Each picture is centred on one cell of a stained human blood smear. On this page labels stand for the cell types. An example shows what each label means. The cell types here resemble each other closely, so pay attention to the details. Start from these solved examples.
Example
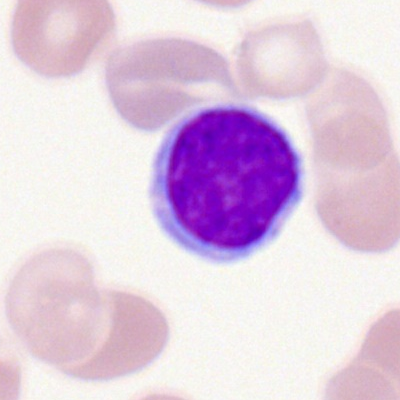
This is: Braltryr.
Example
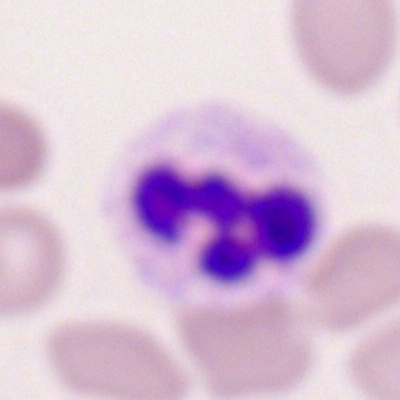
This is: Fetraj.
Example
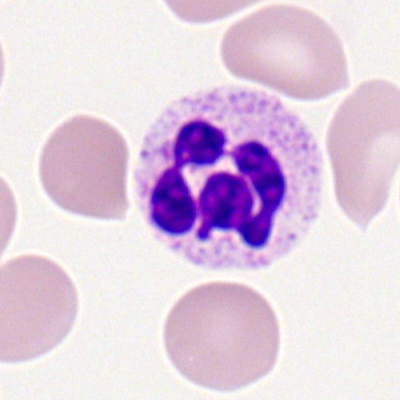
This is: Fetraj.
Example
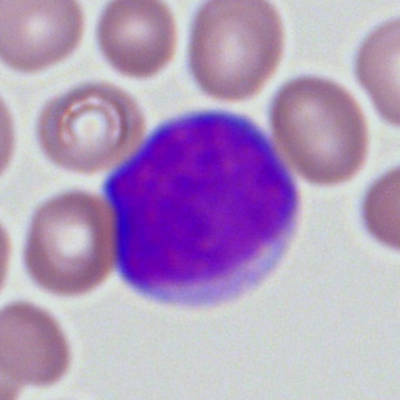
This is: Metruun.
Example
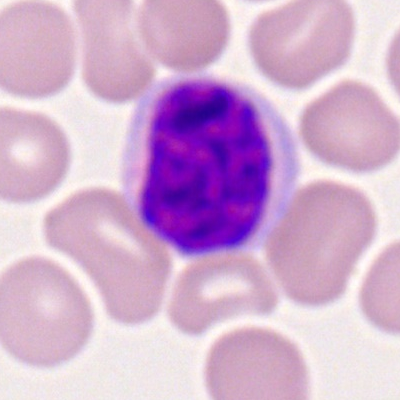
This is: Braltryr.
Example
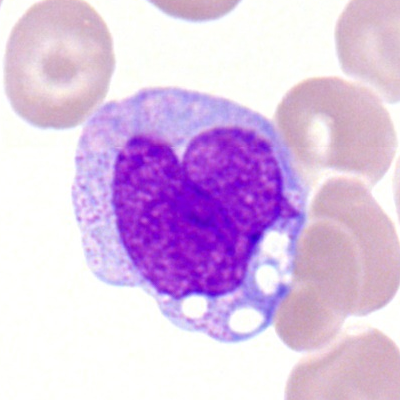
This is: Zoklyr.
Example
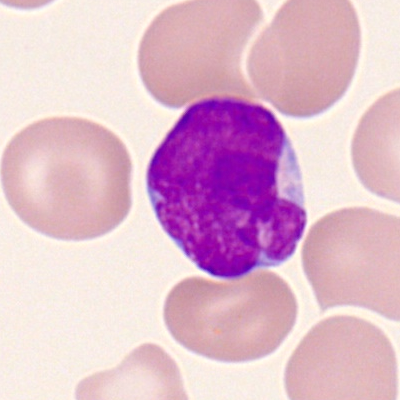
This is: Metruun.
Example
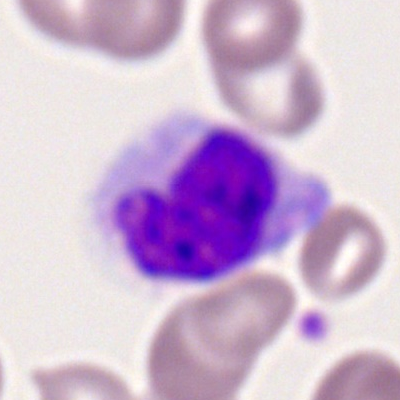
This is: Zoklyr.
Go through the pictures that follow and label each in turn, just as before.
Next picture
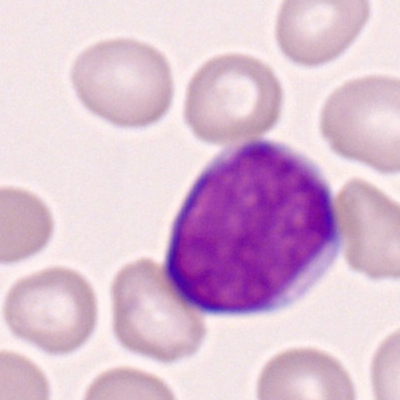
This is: Metruun.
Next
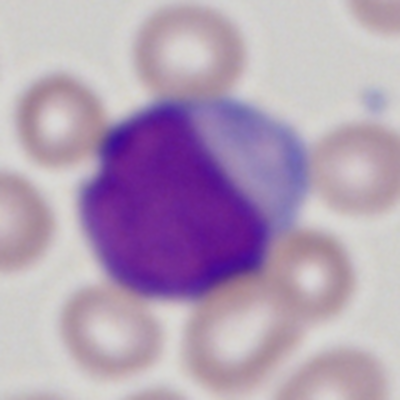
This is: Metruun.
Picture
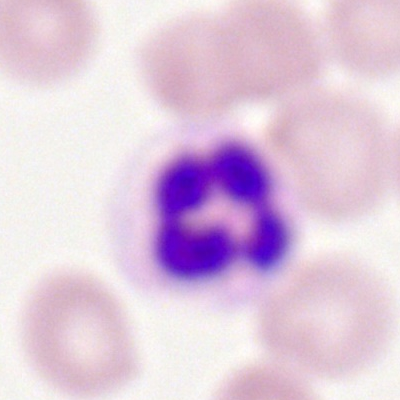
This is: Fetraj.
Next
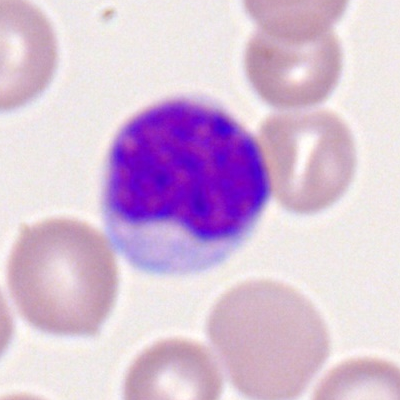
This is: Braltryr.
